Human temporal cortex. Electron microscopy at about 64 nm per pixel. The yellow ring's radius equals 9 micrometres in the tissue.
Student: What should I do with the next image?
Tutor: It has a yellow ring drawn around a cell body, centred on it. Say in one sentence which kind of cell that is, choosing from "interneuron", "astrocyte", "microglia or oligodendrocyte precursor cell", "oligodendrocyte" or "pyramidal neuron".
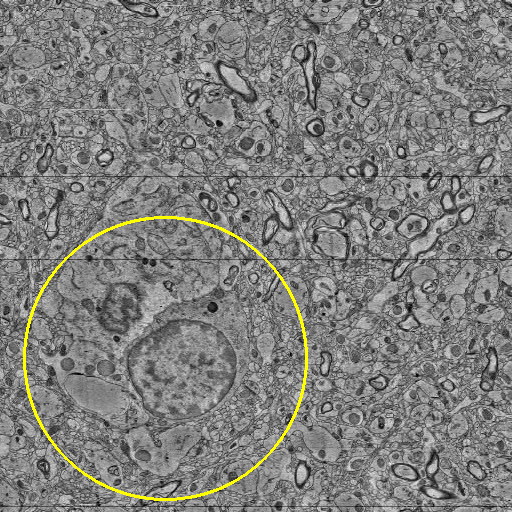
The ring's centre is occupied by an oligodendrocyte.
